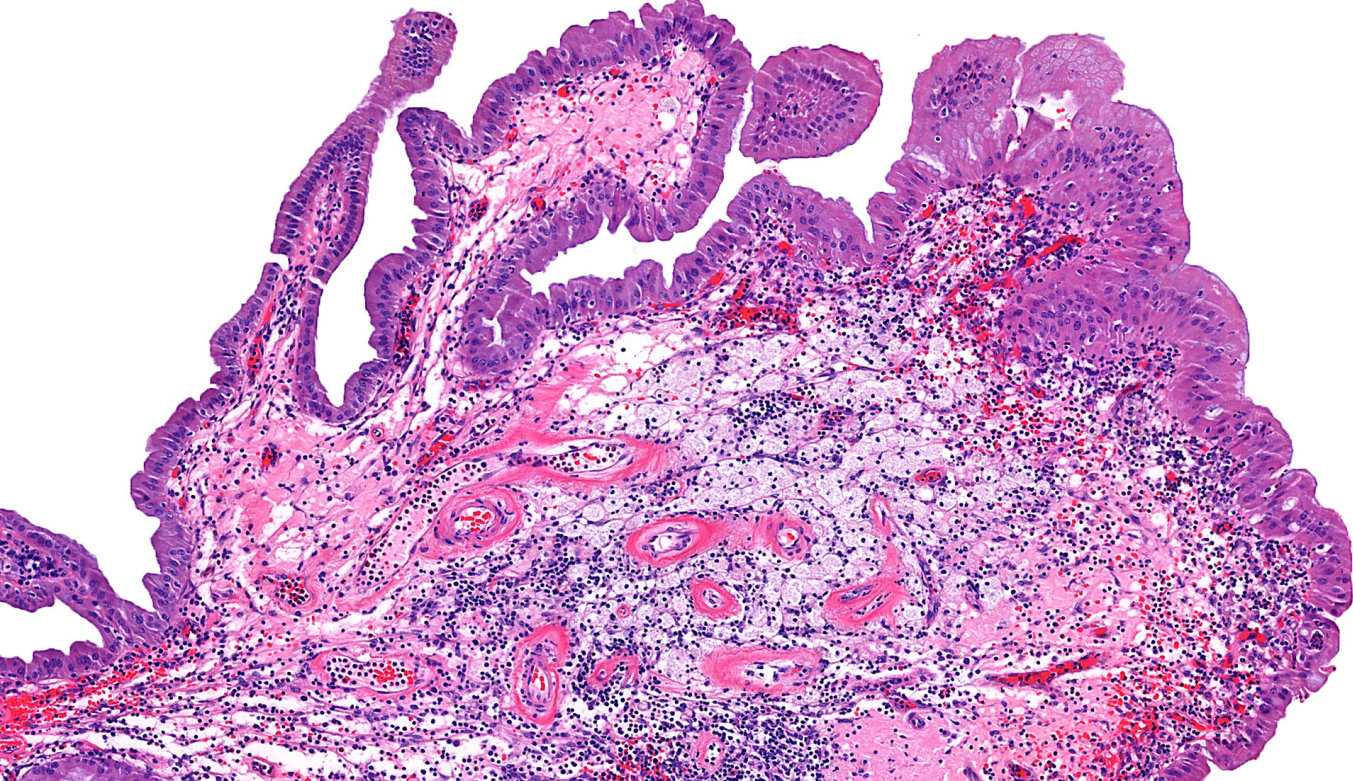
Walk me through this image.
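This polypoid fragment of gallbladder mucosa is lined by a single layer of tall columnar biliary epithelium with basal nuclei and pink cytoplasm, covering lobules and slender finger-like projections. The core of the lamina propria is expanded by a large collection of foamy macrophages, cells with small round nuclei and abundant pale, finely vacuolated cytoplasm. Scattered among them are many small dark lymphocytes and several thick-walled blood vessels with bright pink walls, while red blood cells lie in congested vessels beneath the epithelium.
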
